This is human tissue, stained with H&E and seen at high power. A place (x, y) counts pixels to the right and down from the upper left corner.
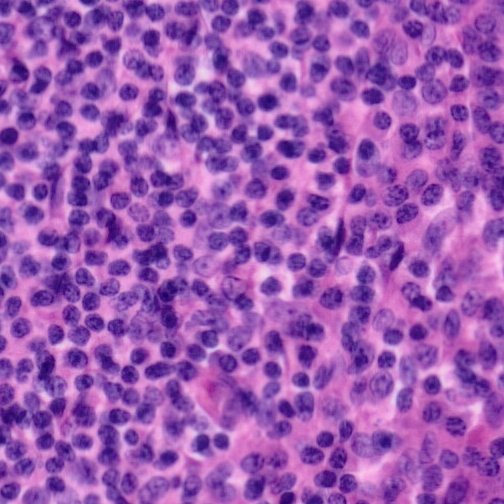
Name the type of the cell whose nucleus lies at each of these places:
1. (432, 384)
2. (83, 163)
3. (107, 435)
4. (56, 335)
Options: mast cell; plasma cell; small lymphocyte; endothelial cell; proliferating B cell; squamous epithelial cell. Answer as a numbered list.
1. plasma cell
2. small lymphocyte
3. small lymphocyte
4. small lymphocyte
